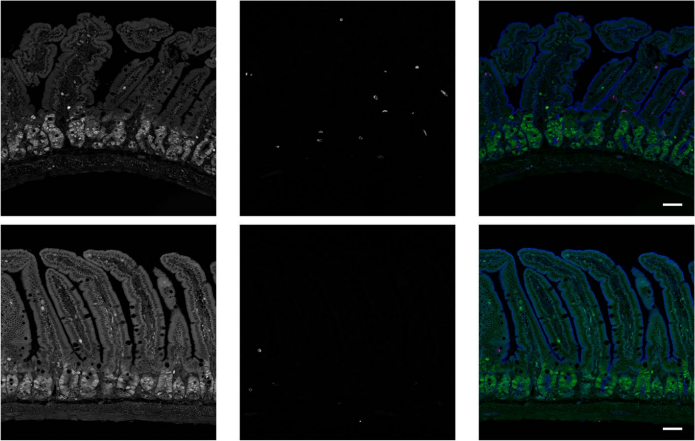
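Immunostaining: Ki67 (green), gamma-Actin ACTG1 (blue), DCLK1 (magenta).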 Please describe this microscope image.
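These are sections of small intestinal mucosa showing long, slender villi above a row of crypts at the base. Scattered single magenta cells sit within the epithelium, more frequent in the upper row than in the lower. Beneath the crypts a thin band of muscle wall closes the section.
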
